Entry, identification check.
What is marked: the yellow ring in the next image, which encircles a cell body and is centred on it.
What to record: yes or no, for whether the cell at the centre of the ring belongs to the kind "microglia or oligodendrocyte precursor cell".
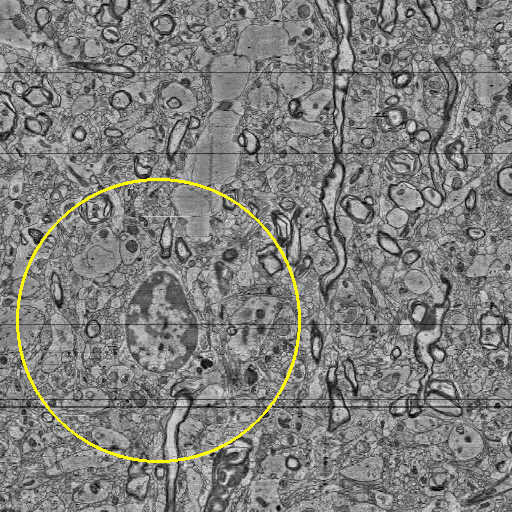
Yes, it belongs to that kind.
